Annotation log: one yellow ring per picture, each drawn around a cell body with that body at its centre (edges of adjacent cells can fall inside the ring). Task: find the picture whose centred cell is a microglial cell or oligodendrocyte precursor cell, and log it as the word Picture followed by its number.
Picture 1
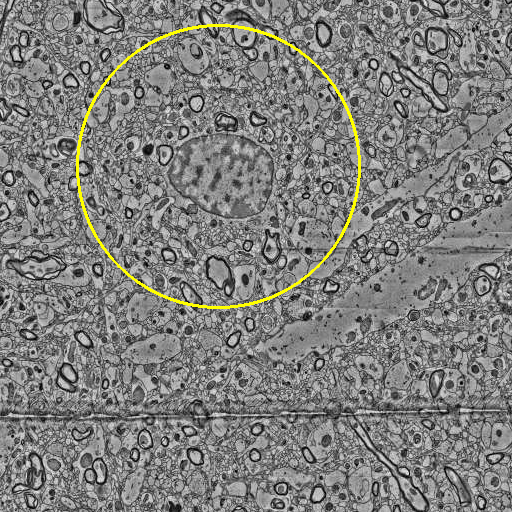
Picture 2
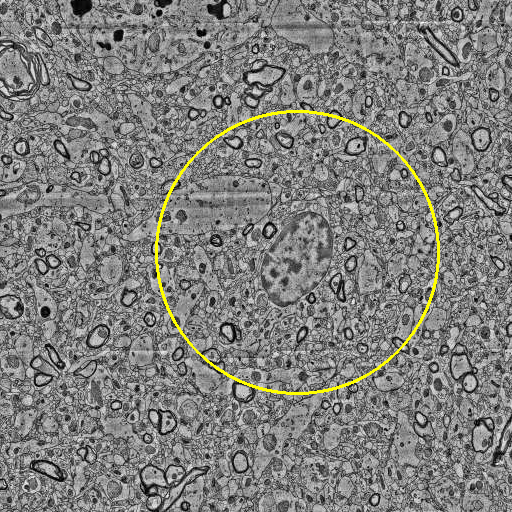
Picture 2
